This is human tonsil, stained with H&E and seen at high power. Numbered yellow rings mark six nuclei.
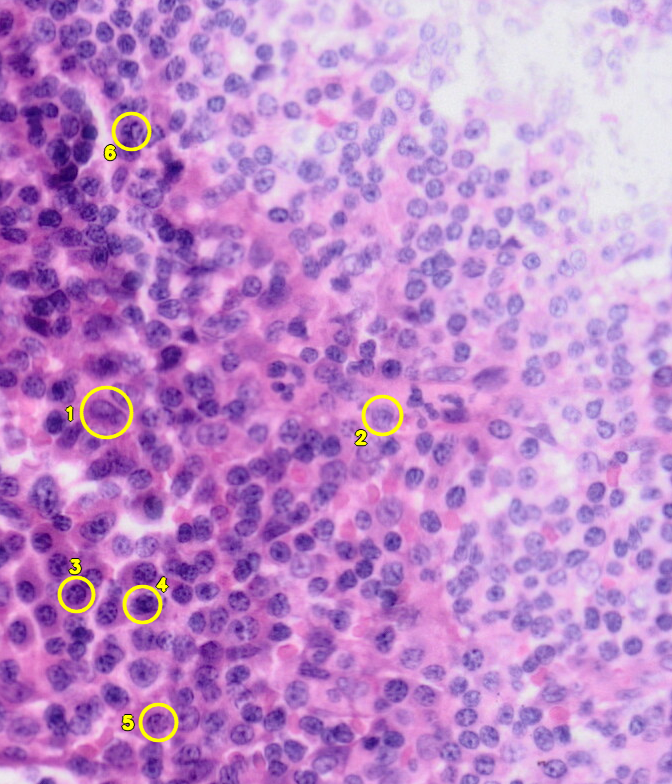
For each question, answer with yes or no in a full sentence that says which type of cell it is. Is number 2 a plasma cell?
No, the cell under number 2 is an endothelial cell instead of a plasma cell.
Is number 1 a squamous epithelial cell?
Yes, the cell that bears the number 1 is a squamous epithelial cell.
